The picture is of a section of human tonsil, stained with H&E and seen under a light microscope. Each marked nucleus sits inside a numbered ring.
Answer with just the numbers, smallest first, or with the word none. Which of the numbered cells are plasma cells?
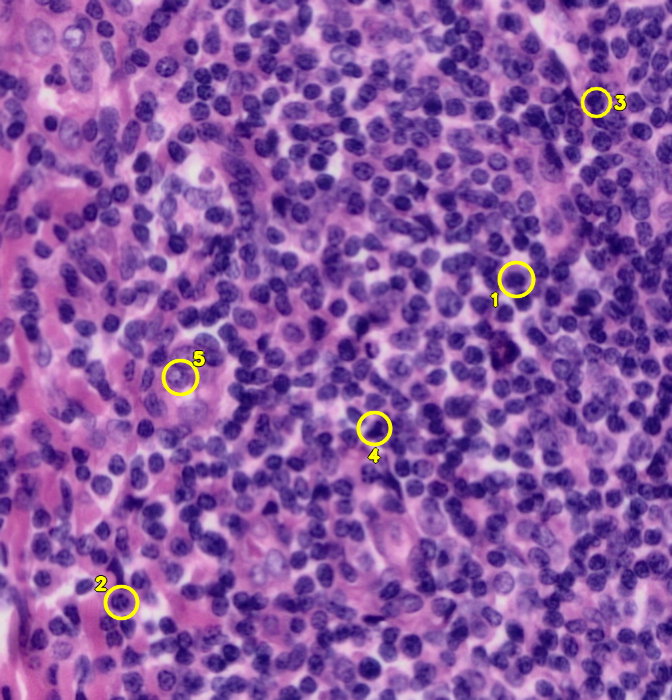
2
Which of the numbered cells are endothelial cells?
5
